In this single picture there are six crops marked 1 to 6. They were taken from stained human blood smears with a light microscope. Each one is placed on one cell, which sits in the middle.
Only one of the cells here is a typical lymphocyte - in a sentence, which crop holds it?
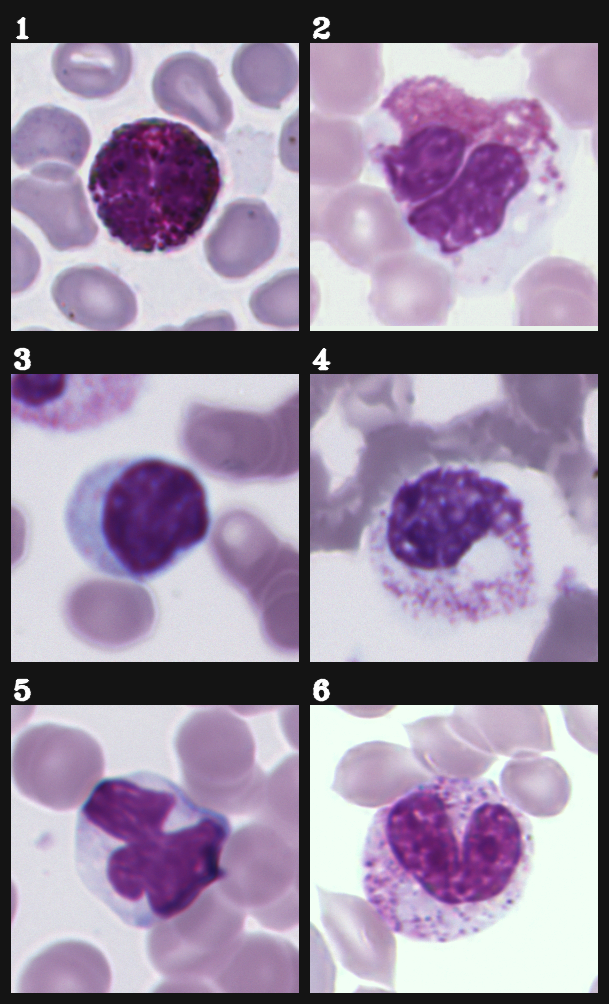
Only in crop 3 is a typical lymphocyte shown.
